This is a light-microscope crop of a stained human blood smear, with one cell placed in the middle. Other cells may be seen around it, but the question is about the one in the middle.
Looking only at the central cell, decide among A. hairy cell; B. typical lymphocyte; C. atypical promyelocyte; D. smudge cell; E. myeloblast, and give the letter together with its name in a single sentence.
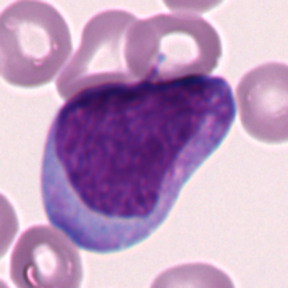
Option C is the right choice, the central cell being an atypical promyelocyte.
